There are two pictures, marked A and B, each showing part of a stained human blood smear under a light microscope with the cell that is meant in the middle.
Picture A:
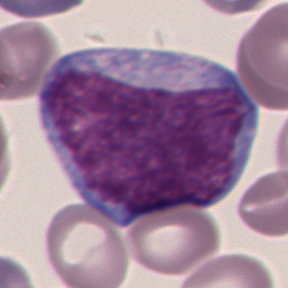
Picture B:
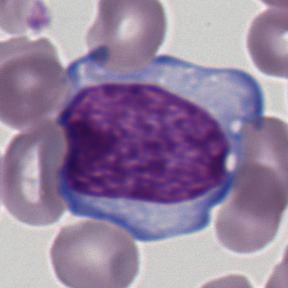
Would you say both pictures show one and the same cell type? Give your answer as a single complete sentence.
No, picture A shows a promyelocyte and picture B shows a myeloblast.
